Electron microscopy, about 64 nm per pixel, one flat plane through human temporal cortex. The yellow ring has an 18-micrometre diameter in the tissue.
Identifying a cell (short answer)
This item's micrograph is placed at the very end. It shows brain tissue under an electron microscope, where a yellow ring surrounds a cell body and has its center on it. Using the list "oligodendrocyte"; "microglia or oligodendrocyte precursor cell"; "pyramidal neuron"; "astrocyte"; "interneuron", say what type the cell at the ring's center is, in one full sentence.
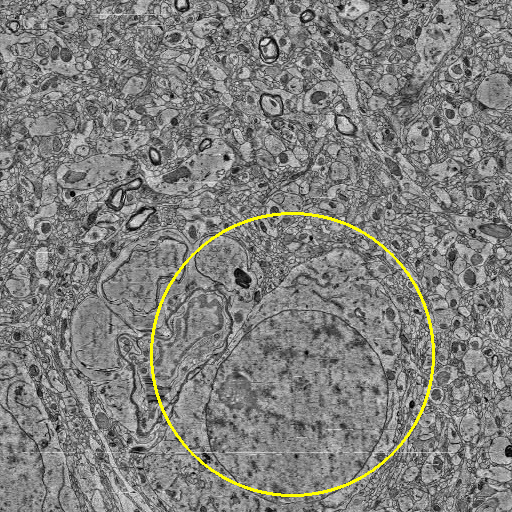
This picture shows a pyramidal neuron at the center of the yellow ring drawn on it.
